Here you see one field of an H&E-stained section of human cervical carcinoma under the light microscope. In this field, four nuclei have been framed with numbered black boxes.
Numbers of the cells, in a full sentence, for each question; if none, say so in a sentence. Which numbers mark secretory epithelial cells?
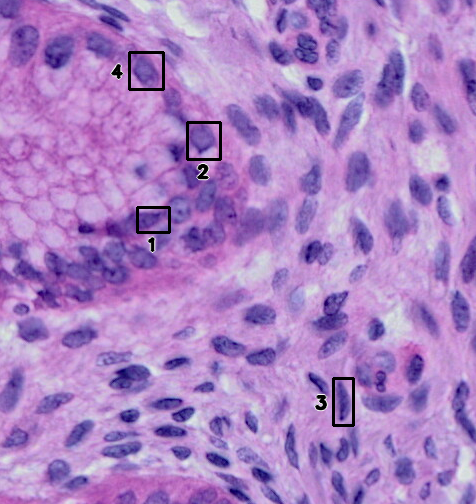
The cells that have been numbered 1, 2 and 4 are secretory epithelial cells.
